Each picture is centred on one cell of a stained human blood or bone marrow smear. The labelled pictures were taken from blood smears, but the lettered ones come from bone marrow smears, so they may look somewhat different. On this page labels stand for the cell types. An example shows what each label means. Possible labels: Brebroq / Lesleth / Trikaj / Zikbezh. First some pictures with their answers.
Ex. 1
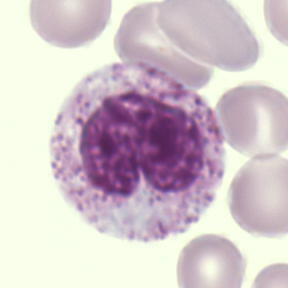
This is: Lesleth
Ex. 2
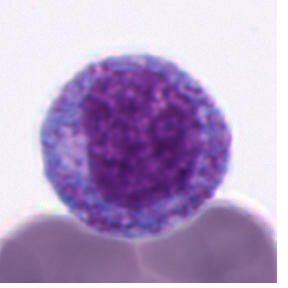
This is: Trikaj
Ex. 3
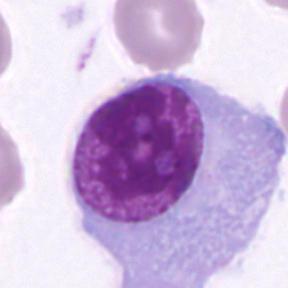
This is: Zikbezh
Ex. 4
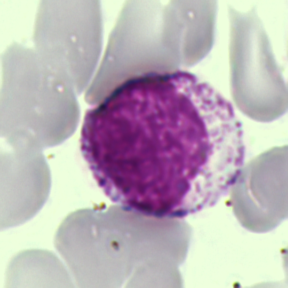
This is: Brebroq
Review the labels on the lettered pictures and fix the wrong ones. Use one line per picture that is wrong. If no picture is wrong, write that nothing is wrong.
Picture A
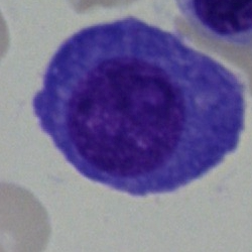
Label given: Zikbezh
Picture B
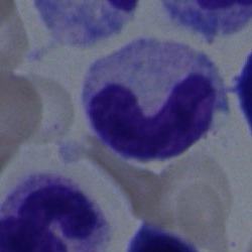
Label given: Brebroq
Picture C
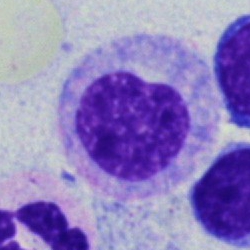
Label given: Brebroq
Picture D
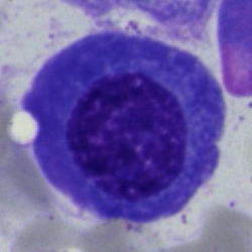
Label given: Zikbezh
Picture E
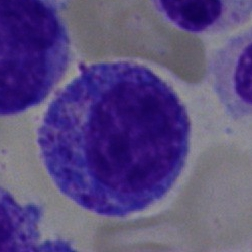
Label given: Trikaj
B should be Lesleth, not Brebroq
